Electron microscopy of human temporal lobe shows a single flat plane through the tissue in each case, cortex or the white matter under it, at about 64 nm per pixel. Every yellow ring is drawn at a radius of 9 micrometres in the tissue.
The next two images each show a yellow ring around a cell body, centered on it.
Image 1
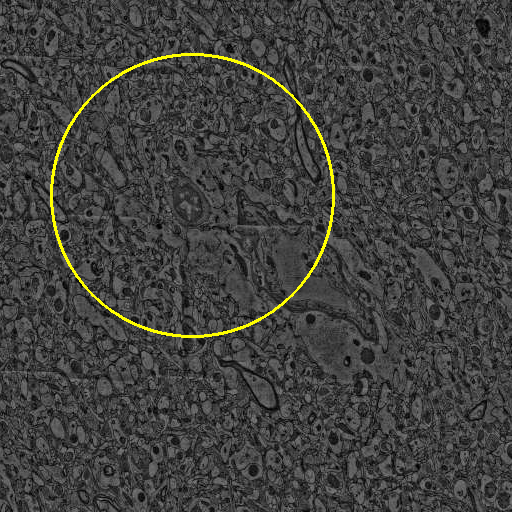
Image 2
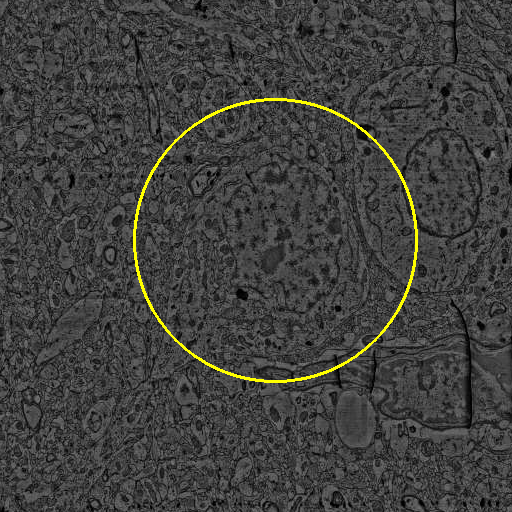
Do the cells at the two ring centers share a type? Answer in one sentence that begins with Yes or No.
No, across the two images the cells at the ring centers are of two types.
